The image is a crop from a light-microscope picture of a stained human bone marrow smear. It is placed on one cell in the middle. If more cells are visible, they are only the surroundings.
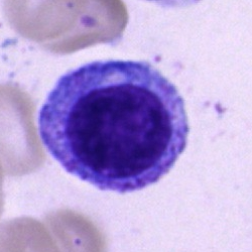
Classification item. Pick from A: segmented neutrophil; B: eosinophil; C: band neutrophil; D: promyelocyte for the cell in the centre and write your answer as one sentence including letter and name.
Option D is correct, naming the cell in the middle as a promyelocyte.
